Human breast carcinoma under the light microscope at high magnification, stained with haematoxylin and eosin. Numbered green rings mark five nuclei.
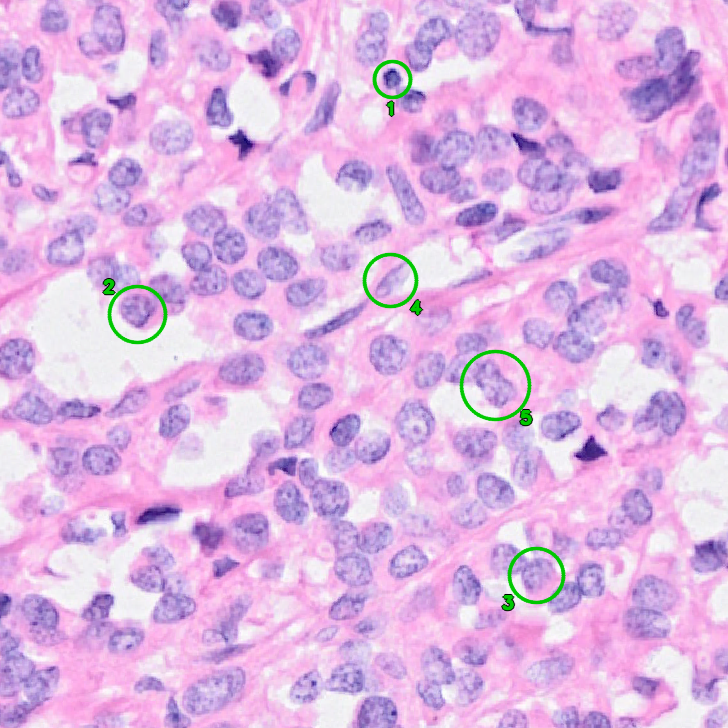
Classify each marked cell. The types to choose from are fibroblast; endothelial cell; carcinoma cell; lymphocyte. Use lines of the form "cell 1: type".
cell 1: lymphocyte
cell 2: carcinoma cell
cell 3: carcinoma cell
cell 4: endothelial cell
cell 5: carcinoma cell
